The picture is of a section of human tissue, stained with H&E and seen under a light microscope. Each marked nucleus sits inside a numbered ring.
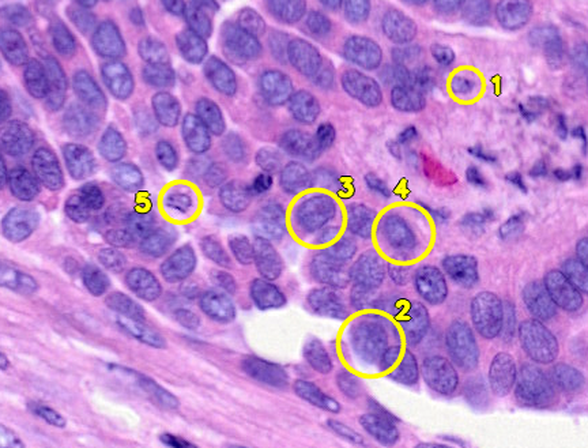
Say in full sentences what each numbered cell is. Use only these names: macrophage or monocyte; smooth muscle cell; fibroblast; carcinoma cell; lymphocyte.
Cell 1 is a fibroblast. Cells 2, 3 and 4 are carcinoma cells. Cell 5 is a macrophage or monocyte.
